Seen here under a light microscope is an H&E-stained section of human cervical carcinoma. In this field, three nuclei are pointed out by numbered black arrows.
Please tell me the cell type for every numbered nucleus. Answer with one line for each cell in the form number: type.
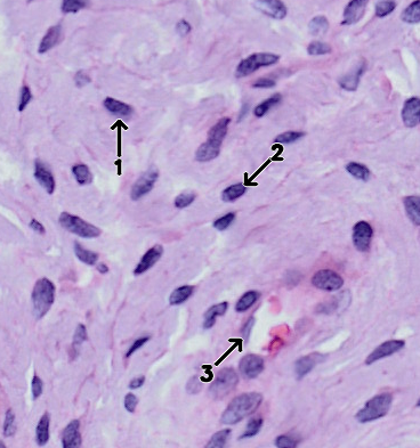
1: fibroblast
2: fibroblast
3: endothelial cell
